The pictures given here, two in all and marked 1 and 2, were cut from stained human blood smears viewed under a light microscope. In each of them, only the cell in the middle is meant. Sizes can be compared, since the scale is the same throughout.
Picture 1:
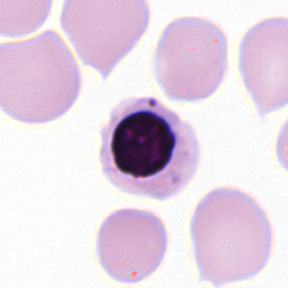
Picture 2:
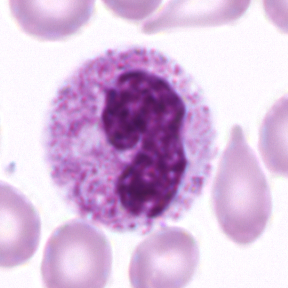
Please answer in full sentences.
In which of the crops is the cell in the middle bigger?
Picture 2 holds the larger cell; it covers about 3 times the area of the cell in picture 1.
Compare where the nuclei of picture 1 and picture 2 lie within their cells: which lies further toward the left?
It is the nucleus in picture 1 that lies further toward the left of its cell.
